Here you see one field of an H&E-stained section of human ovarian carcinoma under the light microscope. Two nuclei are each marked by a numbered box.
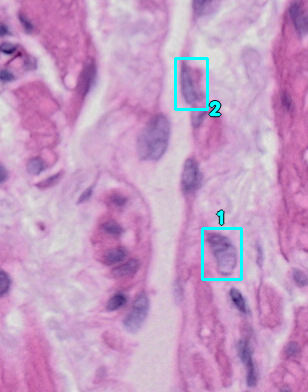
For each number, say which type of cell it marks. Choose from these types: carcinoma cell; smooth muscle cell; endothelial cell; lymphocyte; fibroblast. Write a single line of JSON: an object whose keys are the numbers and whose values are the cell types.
{"1": "fibroblast", "2": "endothelial cell"}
